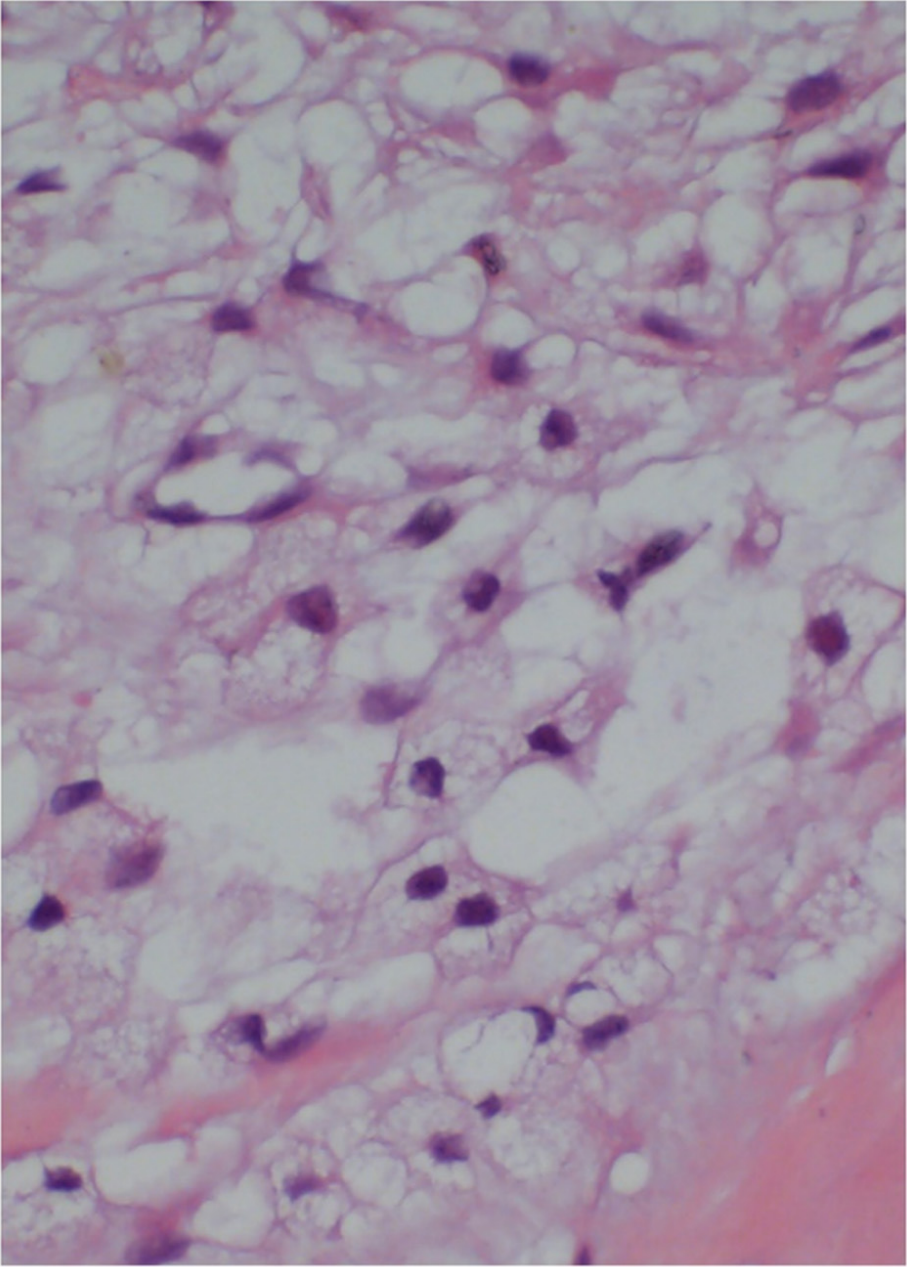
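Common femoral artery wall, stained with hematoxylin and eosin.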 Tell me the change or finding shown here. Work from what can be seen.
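Mucus degeneration. Much of the tissue is pale, loose, bubbly pale-lilac material rather than dense pink wall. Many clear, empty-looking spaces of varying size lie between the cells. Scattered cells with small dark nuclei sit within the pale matrix.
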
